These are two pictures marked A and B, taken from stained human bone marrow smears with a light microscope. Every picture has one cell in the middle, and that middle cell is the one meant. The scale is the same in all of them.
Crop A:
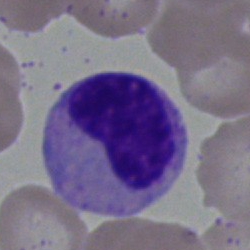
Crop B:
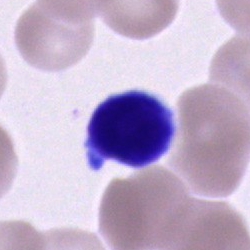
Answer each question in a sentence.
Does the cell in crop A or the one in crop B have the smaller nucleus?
Crop B shows the smaller nucleus, since that in crop A covers about 2 times as much area.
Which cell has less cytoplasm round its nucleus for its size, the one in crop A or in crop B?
The nucleus fills more of the cell in crop B than in crop A.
